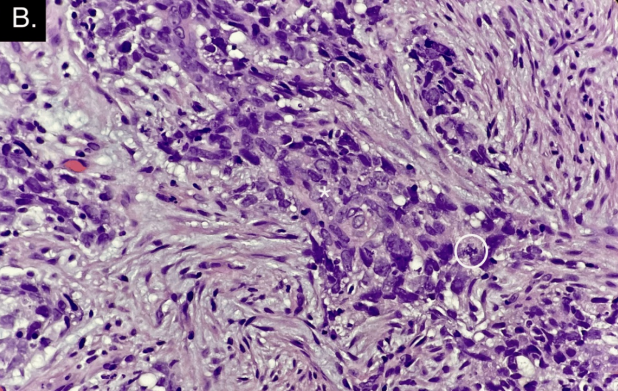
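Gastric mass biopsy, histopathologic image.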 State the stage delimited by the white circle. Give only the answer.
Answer: Atypical mitosis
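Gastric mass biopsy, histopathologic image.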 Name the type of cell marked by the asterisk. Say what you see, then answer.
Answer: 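Large cells with enlarged, dark, irregular nuclei. Cells lie in crowded clusters without glands or orderly arrangement. Spindle-shaped cells of a fibrous stroma surround the clusters. On this evidence: Poorly differentiated malignant cells.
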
